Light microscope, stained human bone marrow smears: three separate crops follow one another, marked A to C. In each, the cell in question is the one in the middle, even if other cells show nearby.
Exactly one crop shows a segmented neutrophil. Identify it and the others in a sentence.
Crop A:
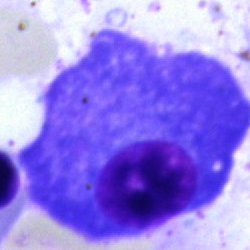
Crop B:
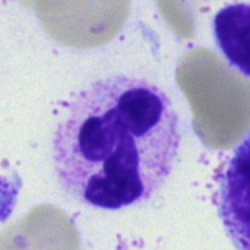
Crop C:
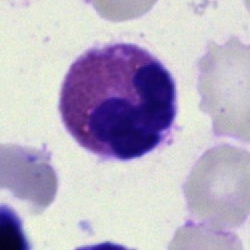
The central cell in crop B is a segmented neutrophil, whereas crop A is a plasma cell and crop C is an eosinophil.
